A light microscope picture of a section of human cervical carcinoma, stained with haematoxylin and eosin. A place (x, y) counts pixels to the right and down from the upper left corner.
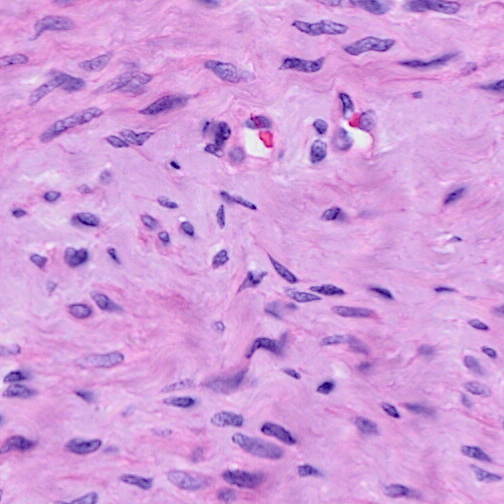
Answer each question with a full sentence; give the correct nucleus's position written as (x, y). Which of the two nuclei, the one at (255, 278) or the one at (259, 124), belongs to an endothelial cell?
The nucleus of an endothelial cell lies at (259, 124), not at the other position.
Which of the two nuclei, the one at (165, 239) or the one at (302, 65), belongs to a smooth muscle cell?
The correct choice is the nucleus at (165, 239), which belongs to a smooth muscle cell.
